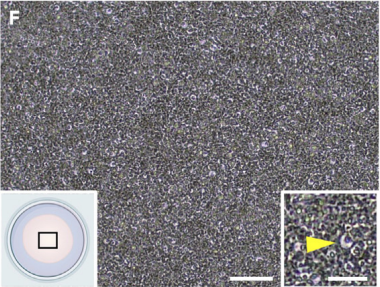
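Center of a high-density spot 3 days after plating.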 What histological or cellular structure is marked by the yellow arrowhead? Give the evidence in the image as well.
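The inset shows a small bright, curved shape at the arrowhead tip. Field is densely and evenly covered with small cells. That points to this answer: bright, half-moon-shaped structures of cells.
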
